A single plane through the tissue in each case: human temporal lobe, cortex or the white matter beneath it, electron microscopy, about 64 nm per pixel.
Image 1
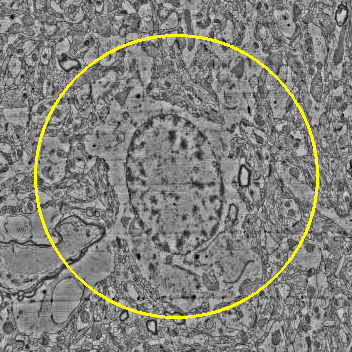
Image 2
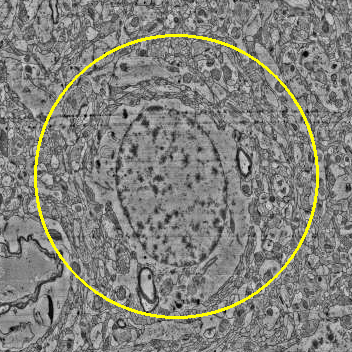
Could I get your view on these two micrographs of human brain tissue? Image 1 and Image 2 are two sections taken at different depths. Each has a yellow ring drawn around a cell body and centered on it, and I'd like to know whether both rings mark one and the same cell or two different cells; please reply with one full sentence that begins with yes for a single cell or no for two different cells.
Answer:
Yes, the two yellow circles hold the same cell.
